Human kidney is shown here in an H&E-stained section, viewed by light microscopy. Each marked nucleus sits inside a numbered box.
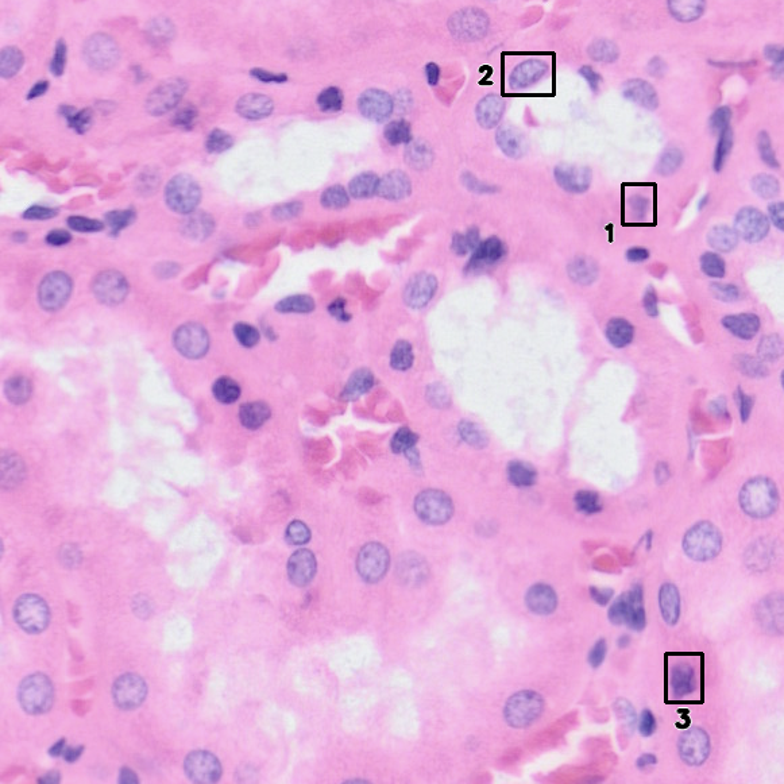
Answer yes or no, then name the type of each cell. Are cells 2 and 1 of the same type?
Yes, note that cells 2 and 1 are both loop of Henle or distal tubule cells.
